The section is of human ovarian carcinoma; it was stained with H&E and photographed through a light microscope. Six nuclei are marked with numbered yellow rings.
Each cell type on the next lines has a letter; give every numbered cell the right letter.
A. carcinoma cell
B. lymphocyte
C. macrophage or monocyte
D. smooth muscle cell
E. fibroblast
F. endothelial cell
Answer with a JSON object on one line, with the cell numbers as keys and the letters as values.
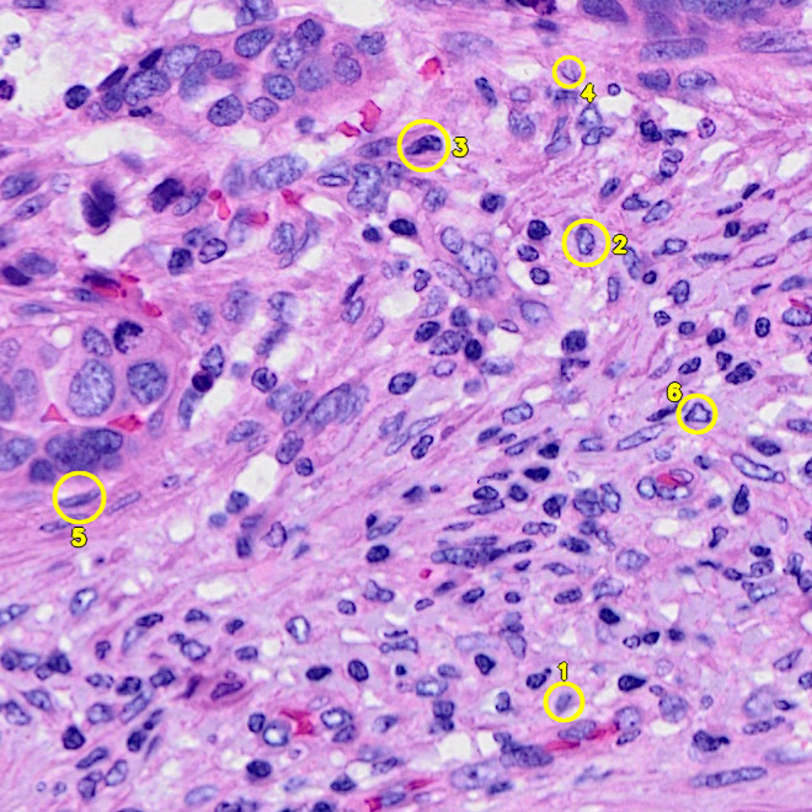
{"1": "B", "2": "E", "3": "B", "4": "E", "5": "E", "6": "E"}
